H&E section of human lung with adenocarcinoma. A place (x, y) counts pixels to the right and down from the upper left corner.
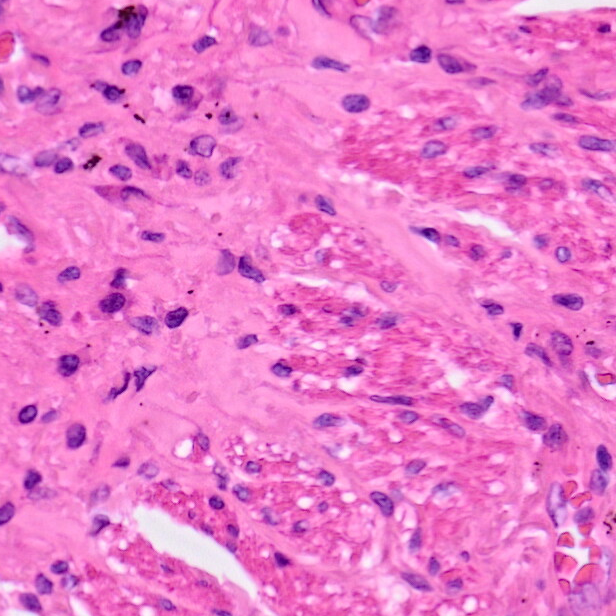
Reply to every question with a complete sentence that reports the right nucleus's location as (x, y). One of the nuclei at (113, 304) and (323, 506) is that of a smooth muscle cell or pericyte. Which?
The nucleus whose position is (323, 506) belongs to a smooth muscle cell or pericyte.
